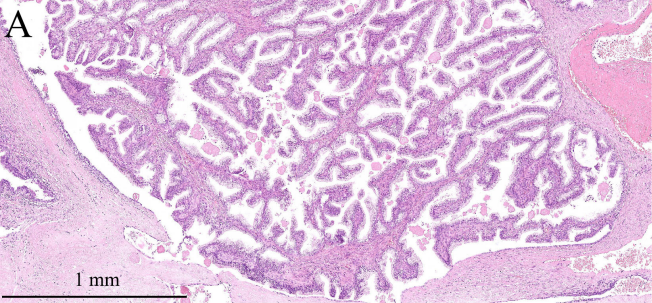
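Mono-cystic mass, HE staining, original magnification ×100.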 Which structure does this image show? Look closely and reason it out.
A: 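Branching papillary structure. Many slender fronds branch out into a cystic space. Each frond has a stromal core covered by a purple epithelial lining.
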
